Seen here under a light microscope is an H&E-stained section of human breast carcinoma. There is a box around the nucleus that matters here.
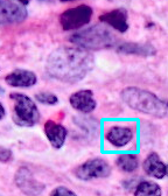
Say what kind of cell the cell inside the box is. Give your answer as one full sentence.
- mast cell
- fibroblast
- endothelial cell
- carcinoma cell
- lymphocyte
It is a lymphocyte that the cell inside the box represents.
